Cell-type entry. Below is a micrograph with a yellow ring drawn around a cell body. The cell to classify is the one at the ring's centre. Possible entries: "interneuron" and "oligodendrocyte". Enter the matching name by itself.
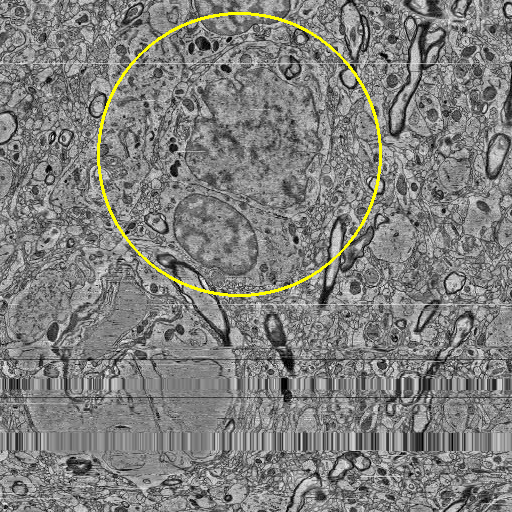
interneuron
